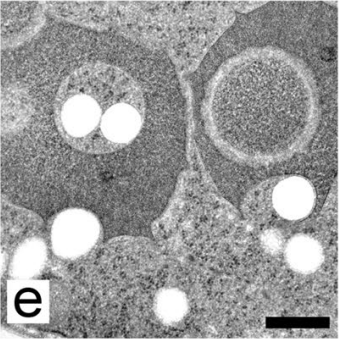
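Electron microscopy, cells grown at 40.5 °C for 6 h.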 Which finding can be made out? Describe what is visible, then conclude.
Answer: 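A large dark compartment holds a paler rounded pocket of cytoplasm-like material. Round white bodies lie within the pocket and beside the dark compartment.
Conclusion: vacuolar invaginations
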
